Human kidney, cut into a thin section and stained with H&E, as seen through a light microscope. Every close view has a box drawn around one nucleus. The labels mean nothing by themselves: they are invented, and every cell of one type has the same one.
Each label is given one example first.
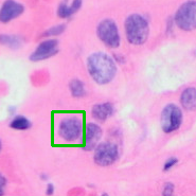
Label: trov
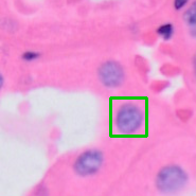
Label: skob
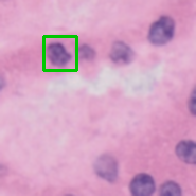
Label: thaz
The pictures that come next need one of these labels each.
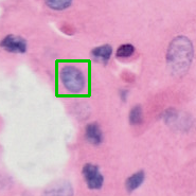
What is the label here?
skob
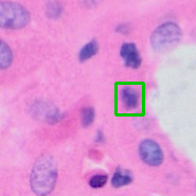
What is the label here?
skob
